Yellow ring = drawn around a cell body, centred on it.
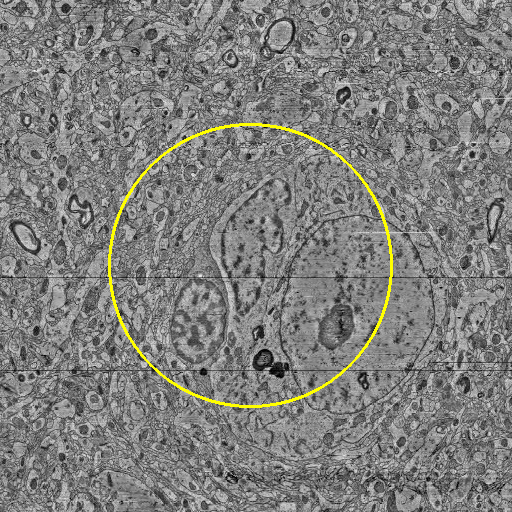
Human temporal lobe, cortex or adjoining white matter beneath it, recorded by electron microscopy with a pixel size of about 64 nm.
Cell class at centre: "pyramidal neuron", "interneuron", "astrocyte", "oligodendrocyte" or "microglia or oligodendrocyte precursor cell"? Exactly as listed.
microglia or oligodendrocyte precursor cell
